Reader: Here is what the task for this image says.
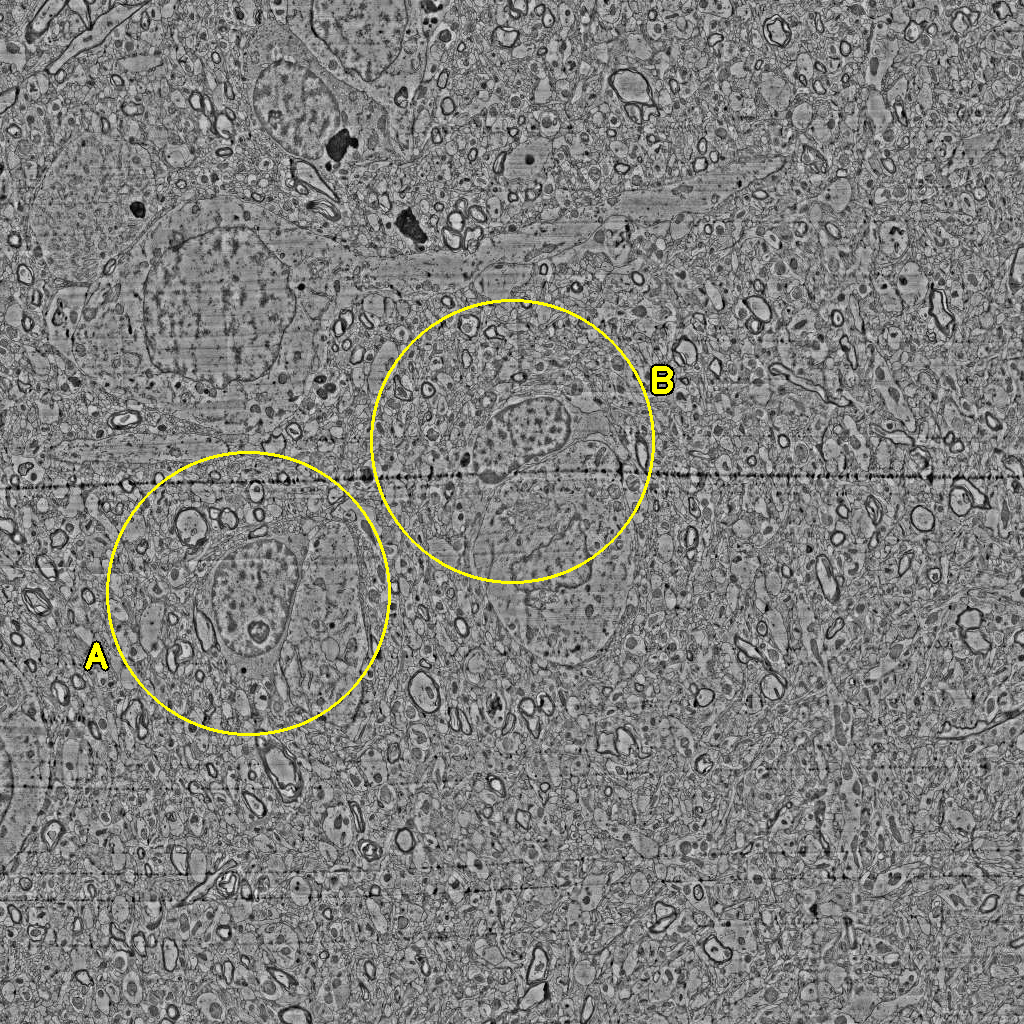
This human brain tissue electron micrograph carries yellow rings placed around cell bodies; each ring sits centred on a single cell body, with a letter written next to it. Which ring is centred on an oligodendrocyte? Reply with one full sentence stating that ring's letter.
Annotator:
Letter A marks the ring whose centre holds the cell asked for.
